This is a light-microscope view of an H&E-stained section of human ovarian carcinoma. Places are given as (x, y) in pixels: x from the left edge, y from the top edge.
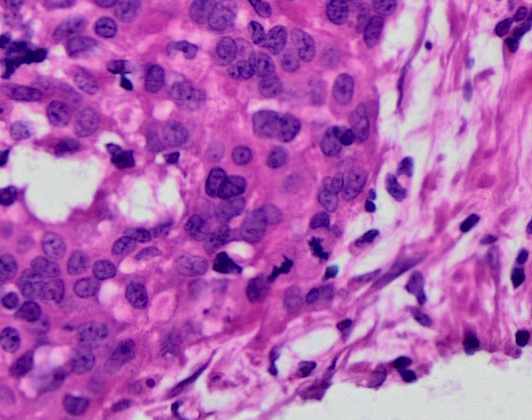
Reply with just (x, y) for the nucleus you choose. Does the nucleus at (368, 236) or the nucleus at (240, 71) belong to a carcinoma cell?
(240, 71)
